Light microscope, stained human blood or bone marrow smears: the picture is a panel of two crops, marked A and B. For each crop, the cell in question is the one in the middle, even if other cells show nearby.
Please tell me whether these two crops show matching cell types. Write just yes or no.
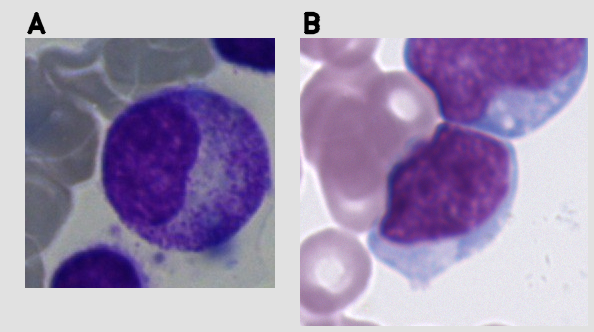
no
